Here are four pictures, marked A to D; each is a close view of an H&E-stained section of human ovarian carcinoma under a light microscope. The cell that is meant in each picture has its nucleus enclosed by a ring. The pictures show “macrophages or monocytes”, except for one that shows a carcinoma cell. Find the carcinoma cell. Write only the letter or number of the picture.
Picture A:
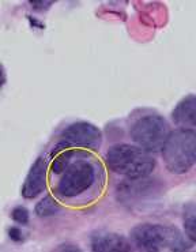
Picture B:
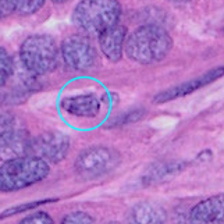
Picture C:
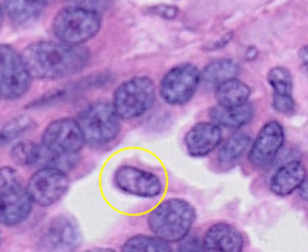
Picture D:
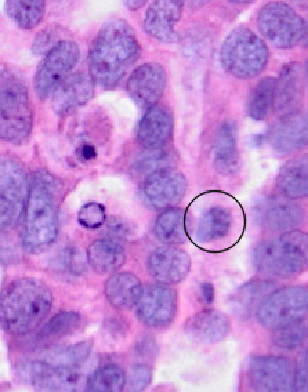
A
